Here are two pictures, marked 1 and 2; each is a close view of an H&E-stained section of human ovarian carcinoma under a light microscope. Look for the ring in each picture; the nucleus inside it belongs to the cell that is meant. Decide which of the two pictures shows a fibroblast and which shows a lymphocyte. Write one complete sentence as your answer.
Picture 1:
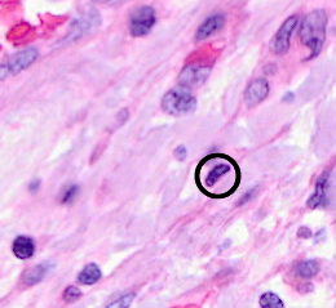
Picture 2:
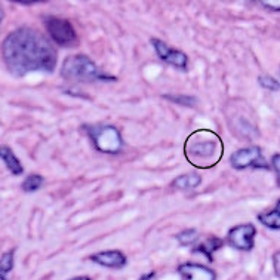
The cell in picture 1 is a lymphocyte, and the one in picture 2 is a fibroblast.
